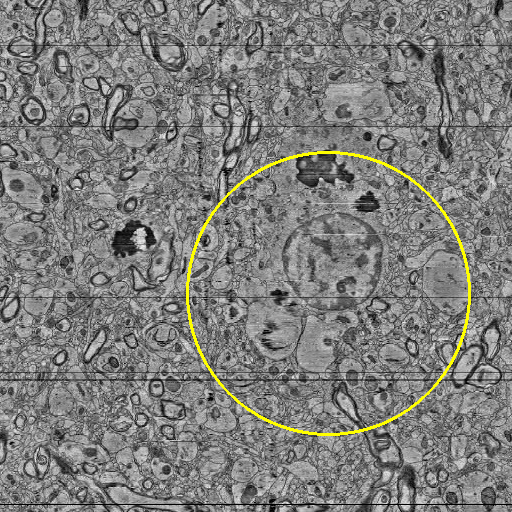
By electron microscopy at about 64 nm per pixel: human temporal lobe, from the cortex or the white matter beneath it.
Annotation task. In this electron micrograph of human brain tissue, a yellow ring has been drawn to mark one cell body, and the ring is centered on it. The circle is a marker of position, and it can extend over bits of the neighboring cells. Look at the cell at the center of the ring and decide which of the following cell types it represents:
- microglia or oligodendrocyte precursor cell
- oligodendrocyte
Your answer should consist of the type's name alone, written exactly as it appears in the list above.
oligodendrocyte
